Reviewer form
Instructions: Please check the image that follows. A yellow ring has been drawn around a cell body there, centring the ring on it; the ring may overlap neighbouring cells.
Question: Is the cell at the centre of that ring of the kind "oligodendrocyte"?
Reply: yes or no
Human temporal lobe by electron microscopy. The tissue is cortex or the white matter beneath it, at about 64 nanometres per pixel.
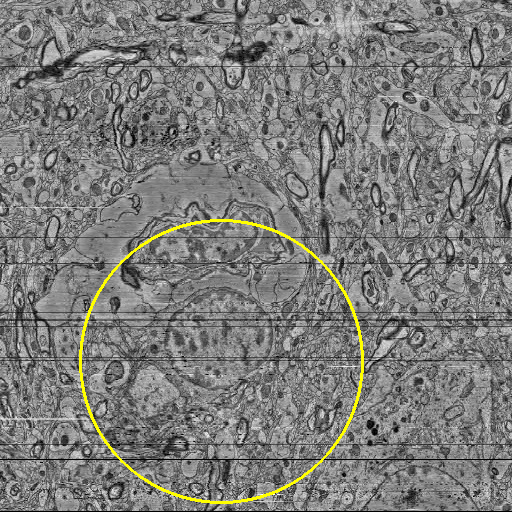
yes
